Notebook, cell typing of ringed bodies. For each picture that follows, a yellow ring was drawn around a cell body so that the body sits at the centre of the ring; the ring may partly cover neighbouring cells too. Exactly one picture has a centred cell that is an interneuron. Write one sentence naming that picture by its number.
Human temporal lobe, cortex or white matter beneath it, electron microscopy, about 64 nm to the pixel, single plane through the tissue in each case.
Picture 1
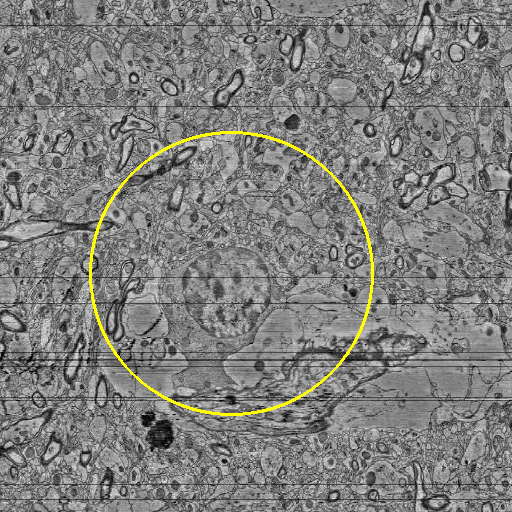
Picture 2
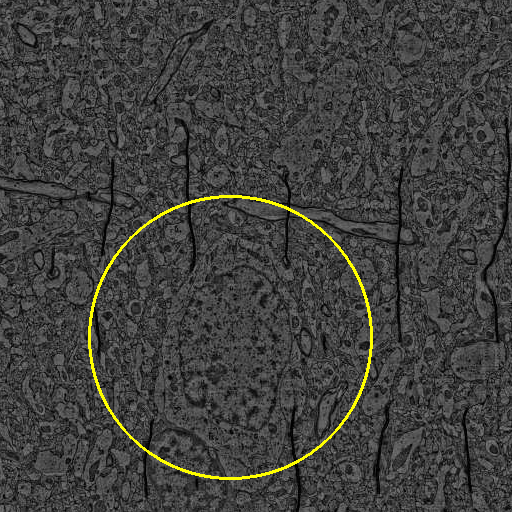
Picture 2 is the one with it at the centre of its ring.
